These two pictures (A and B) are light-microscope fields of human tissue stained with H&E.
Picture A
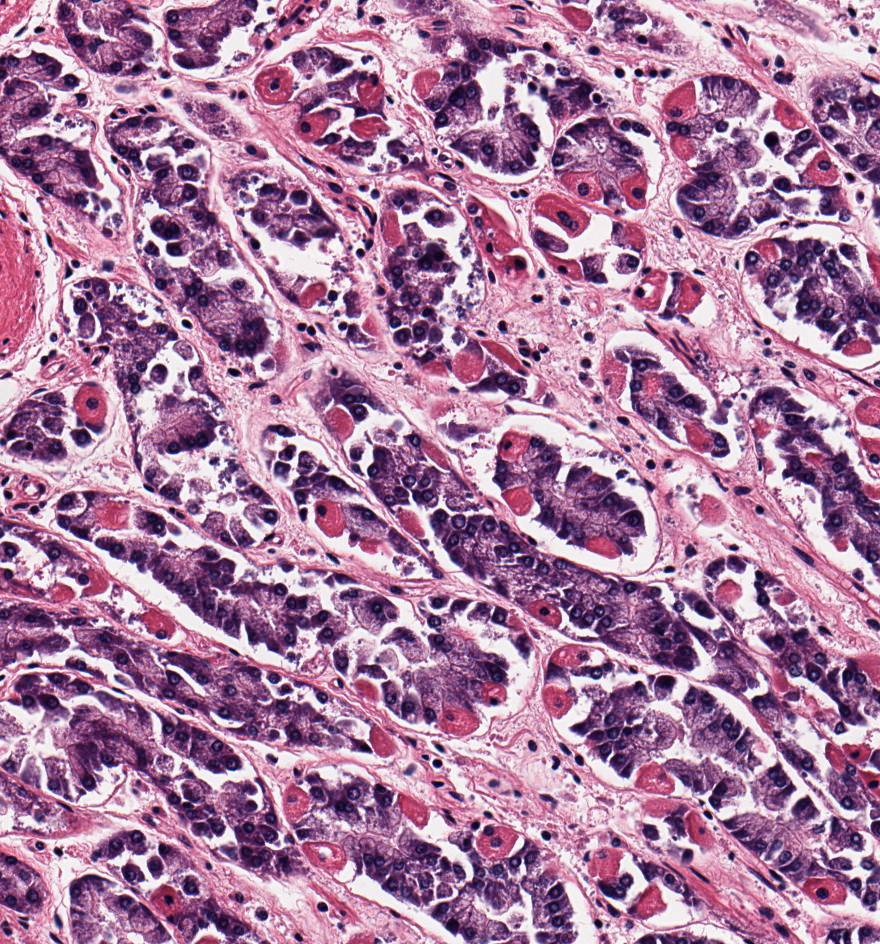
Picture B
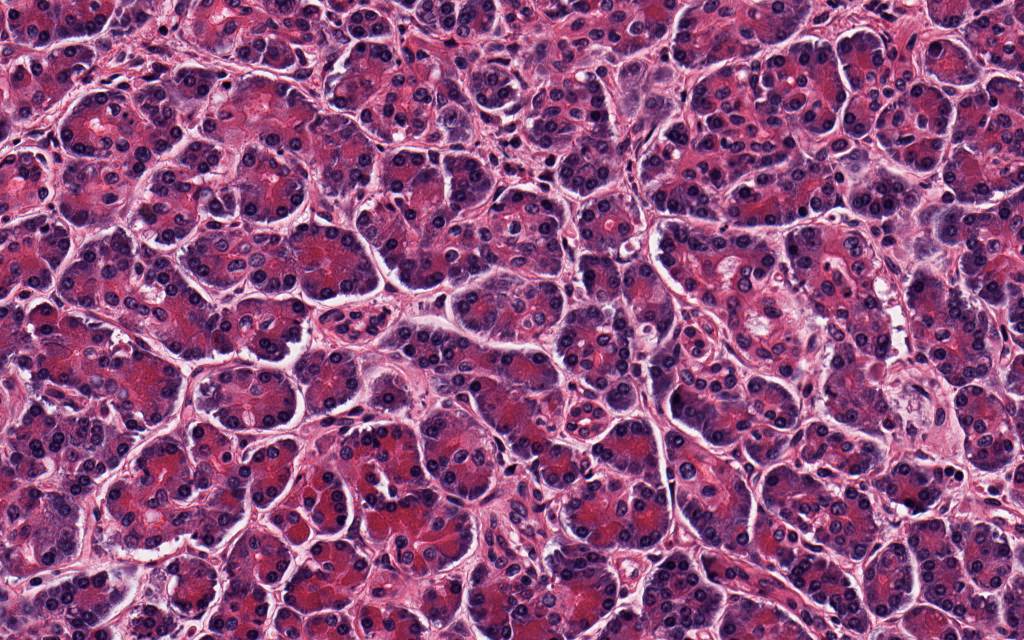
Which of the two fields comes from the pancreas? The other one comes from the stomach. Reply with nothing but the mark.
B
